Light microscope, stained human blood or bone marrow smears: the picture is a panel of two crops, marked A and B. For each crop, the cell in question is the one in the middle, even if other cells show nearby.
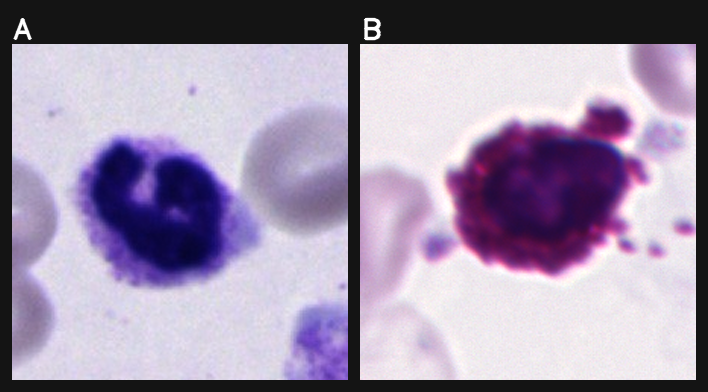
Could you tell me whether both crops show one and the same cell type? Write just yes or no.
no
